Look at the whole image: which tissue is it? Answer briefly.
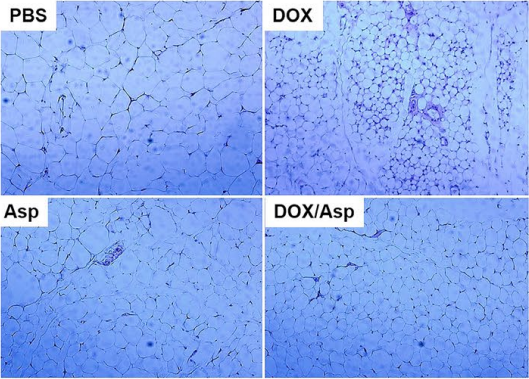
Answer: fat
